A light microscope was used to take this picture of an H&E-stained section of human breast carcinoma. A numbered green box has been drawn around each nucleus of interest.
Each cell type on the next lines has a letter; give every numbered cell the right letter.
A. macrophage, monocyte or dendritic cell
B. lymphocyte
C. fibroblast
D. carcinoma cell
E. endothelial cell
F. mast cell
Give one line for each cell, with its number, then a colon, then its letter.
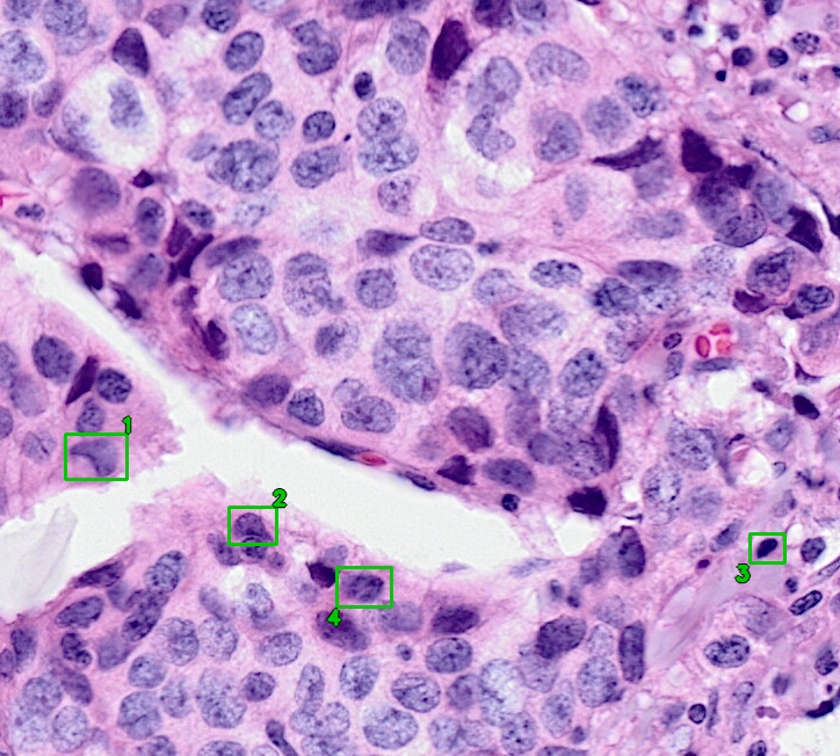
1: D
2: D
3: B
4: D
